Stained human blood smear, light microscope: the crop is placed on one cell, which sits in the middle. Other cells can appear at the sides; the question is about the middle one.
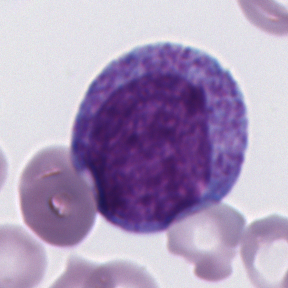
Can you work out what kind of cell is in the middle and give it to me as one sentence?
Within this crop, a promyelocyte occupies the central position.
